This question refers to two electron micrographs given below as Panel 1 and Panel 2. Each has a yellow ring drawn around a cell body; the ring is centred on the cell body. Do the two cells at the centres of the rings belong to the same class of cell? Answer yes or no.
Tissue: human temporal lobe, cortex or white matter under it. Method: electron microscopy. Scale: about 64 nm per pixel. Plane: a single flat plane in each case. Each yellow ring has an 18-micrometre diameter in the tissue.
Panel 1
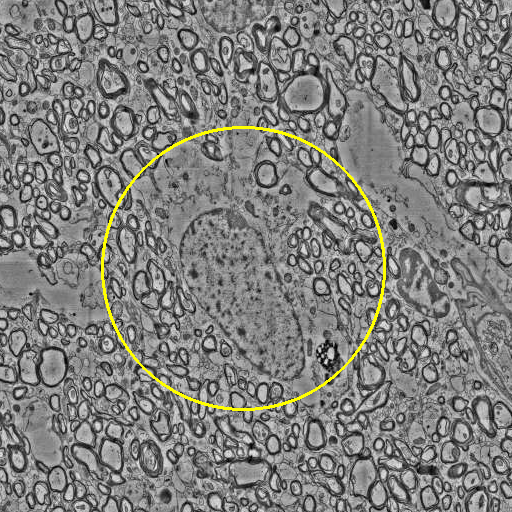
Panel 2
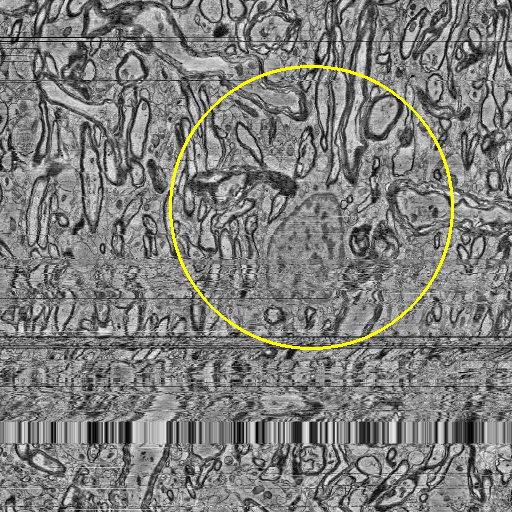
no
